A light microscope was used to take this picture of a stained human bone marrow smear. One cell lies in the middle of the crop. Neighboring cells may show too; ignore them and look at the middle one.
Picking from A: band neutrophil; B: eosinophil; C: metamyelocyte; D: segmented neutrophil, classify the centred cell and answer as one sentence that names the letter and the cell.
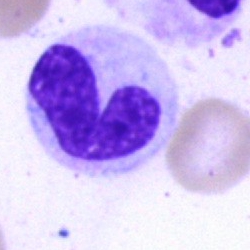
That cell in the center is a band neutrophil, hence option A.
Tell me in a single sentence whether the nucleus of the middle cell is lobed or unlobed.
The nuclear material is gathered into one compact round, oval or kidney-shaped mass.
